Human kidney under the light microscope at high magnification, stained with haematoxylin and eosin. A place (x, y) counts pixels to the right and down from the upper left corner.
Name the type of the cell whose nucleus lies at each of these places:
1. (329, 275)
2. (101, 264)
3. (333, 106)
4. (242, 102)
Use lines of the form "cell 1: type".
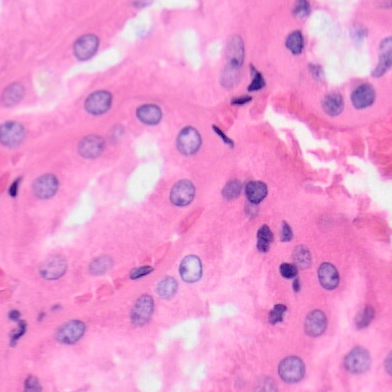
cell 1: proximal tubule cell
cell 2: proximal tubule cell
cell 3: loop of Henle or distal tubule cell
cell 4: endothelial cell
